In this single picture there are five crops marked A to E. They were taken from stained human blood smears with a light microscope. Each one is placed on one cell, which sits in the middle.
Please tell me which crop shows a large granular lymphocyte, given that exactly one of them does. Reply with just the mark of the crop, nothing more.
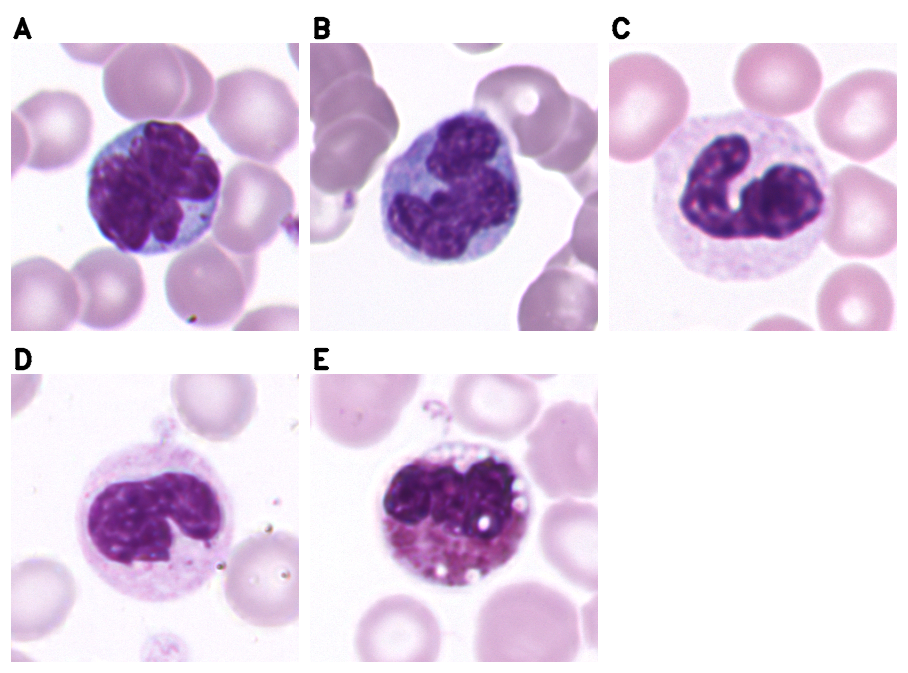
A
